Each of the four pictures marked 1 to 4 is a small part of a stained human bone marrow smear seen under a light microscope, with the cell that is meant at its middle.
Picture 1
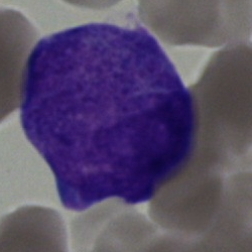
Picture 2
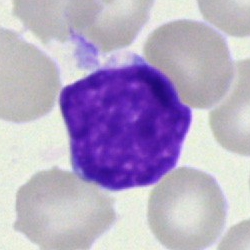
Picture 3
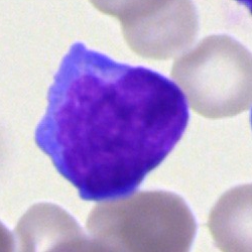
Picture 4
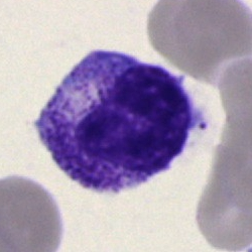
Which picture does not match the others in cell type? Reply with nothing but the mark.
4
